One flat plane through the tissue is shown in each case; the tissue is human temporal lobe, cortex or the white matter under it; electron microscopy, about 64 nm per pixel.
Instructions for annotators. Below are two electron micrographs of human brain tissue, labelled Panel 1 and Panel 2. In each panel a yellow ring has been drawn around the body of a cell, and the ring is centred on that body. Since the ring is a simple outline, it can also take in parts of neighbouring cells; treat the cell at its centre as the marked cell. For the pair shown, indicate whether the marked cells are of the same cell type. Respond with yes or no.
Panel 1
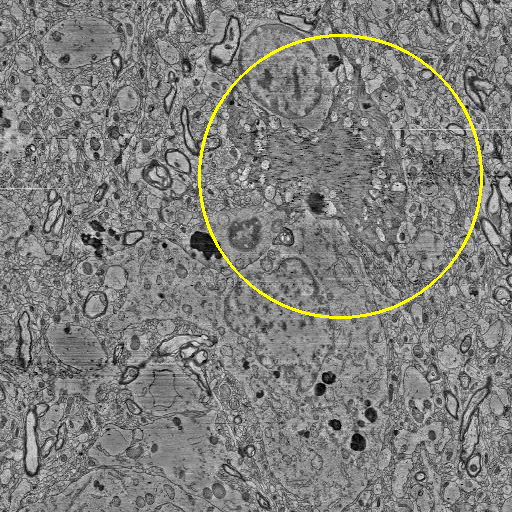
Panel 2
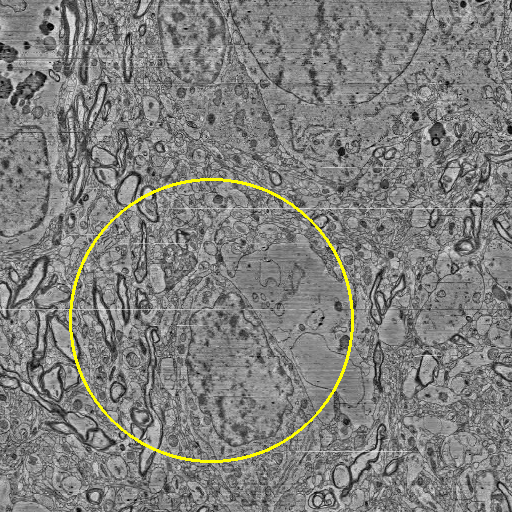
yes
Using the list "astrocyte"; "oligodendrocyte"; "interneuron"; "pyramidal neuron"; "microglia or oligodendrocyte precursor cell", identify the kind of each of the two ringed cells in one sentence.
Each of the ringed cells, first and second, is an interneuron.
